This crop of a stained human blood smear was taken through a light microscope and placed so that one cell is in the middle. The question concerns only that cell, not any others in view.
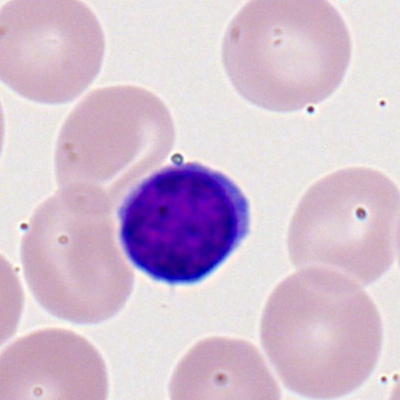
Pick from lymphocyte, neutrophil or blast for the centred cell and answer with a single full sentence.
The center cell of this crop is a lymphocyte.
